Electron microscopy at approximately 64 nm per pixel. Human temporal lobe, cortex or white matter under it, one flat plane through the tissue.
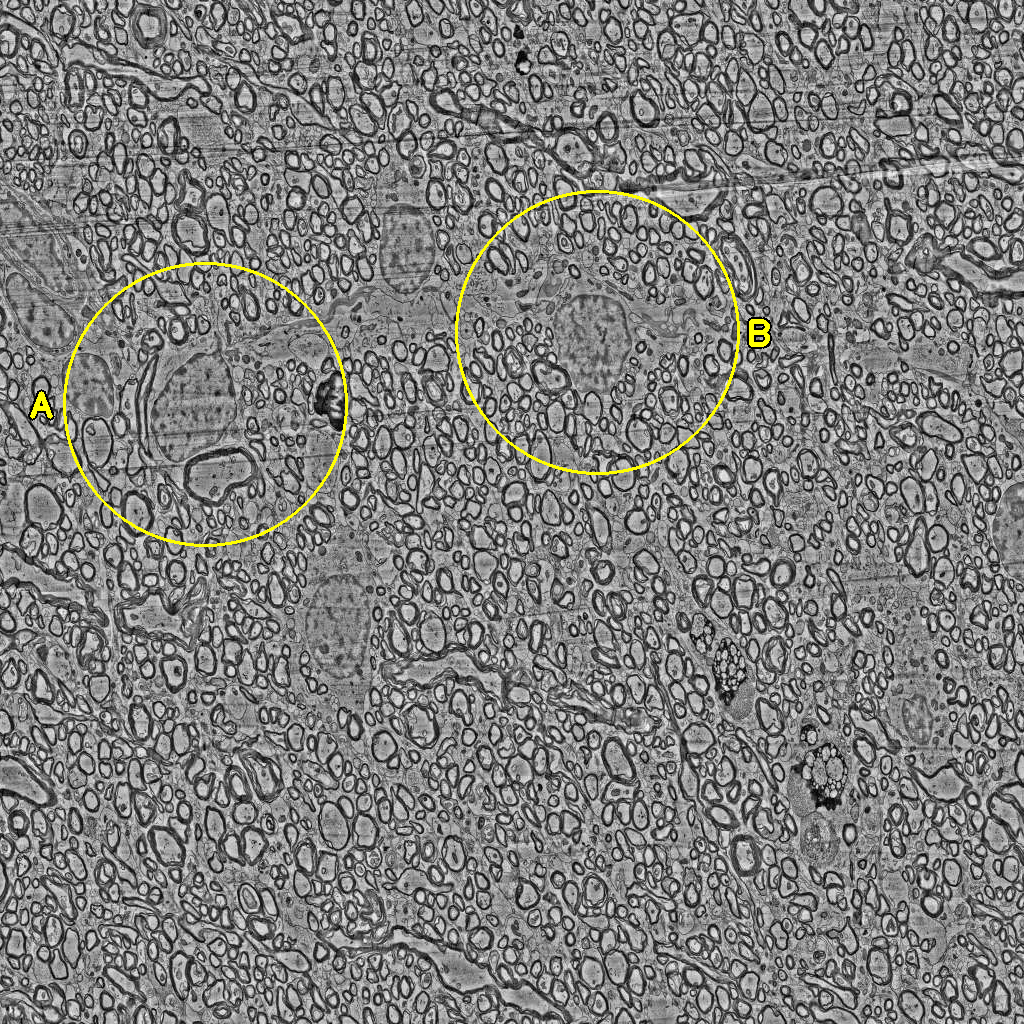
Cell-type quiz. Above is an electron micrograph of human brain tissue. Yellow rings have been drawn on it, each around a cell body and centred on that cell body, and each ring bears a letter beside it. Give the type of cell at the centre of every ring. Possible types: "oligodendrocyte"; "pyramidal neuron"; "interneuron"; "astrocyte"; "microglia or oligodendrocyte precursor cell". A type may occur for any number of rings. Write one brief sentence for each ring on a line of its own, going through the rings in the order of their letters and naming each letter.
Ring A is centred on the cell body of a microglial cell or oligodendrocyte precursor cell.
Ring B is centred on the cell body of an oligodendrocyte.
